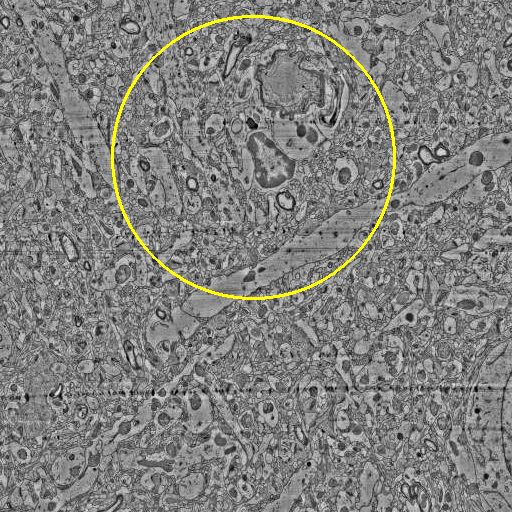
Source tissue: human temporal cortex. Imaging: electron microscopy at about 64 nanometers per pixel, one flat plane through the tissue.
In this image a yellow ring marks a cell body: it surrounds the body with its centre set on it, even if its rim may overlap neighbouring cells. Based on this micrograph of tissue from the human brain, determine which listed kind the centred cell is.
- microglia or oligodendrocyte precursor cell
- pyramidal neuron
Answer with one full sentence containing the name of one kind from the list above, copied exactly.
It is a microglial cell or oligodendrocyte precursor cell whose body the yellow ring encloses at its centre.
